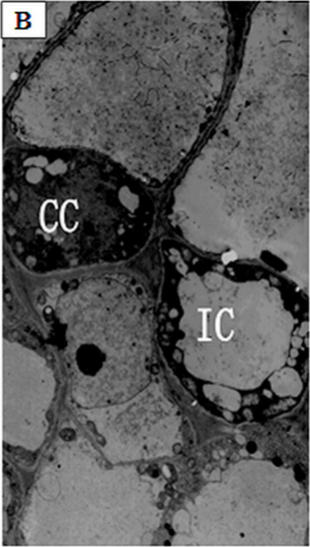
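Transmission electron micrograph of phloem tissue in which several closely packed cells with thin grey walls are seen. One cell is strongly electron-dense, appearing almost black, with a few small pale rounded vacuoles in its cytoplasm. Another cell to the right has a dark peripheral layer of cytoplasm crowded with numerous small pale vesicles and vacuoles surrounding a larger, lighter, finely granular central region. Neighbouring cells contain evenly grey, finely granular contents, and one of them shows a dense, rounded dark body. Small dark organelles and vesicles lie along the walls between the cells.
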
